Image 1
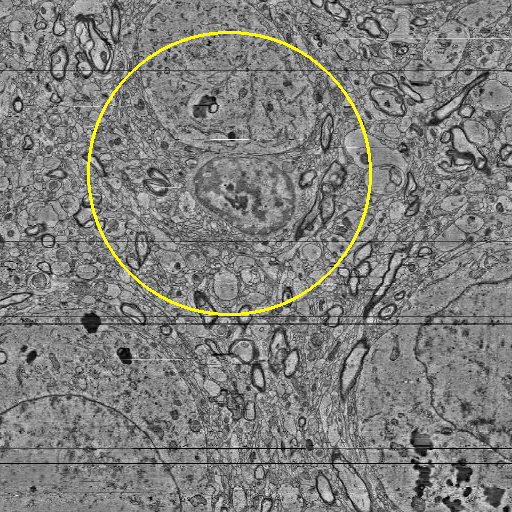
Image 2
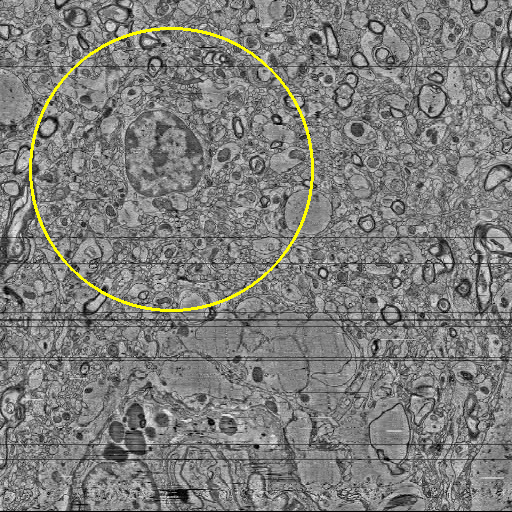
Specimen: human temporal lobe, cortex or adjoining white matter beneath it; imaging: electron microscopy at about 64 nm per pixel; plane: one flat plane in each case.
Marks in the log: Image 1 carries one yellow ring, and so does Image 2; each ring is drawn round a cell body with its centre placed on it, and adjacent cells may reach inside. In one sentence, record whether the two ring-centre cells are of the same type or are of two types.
The two cells at the ring centres, one in each image, are of two types.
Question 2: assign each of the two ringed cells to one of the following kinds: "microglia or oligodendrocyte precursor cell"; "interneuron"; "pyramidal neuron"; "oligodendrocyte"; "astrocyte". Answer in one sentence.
The two cells are an oligodendrocyte in the first picture and a microglial cell or oligodendrocyte precursor cell in the second.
